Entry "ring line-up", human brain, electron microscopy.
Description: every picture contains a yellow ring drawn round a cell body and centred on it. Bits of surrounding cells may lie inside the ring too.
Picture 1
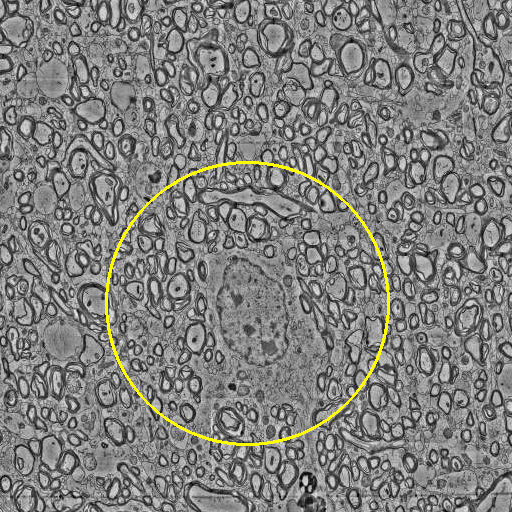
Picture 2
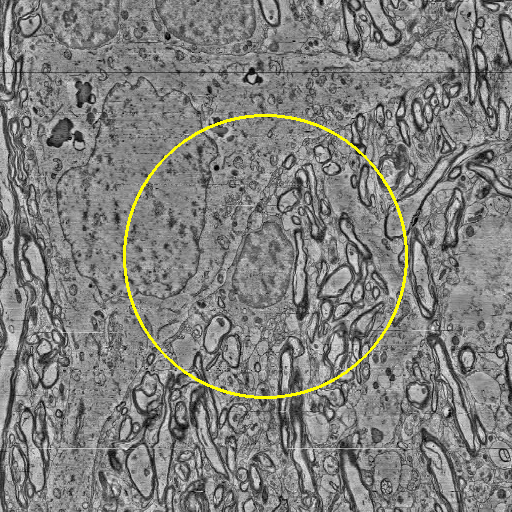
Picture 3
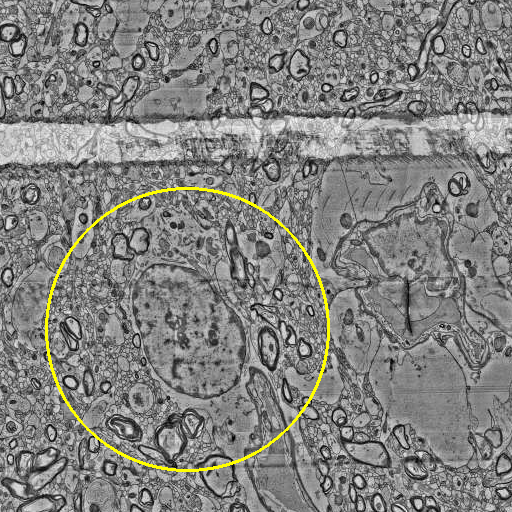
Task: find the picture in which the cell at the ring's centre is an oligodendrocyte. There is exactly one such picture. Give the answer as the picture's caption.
Picture 2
